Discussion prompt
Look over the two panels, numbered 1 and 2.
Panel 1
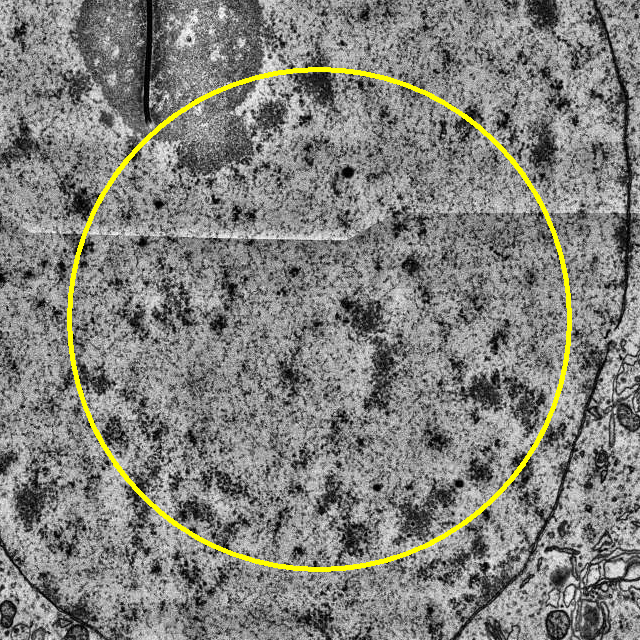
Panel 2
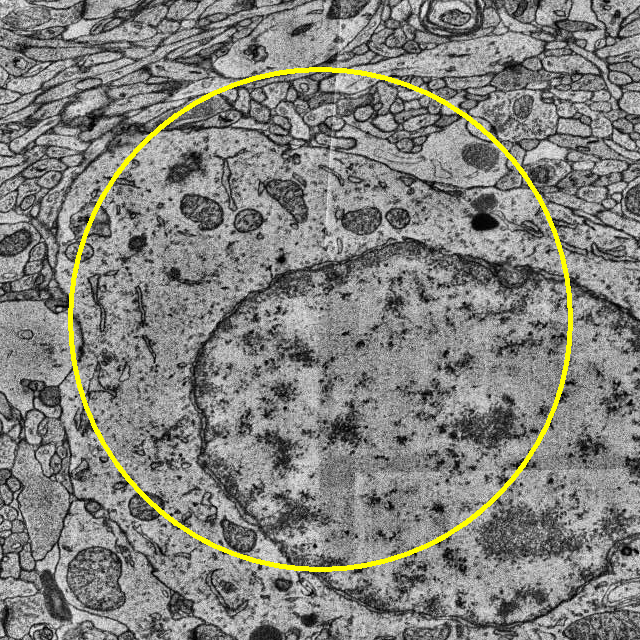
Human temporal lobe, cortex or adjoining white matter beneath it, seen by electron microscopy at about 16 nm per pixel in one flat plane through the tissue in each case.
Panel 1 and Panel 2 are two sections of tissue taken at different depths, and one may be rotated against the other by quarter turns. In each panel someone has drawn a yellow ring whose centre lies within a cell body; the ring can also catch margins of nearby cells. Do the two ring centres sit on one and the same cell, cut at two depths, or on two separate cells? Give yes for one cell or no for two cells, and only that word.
no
